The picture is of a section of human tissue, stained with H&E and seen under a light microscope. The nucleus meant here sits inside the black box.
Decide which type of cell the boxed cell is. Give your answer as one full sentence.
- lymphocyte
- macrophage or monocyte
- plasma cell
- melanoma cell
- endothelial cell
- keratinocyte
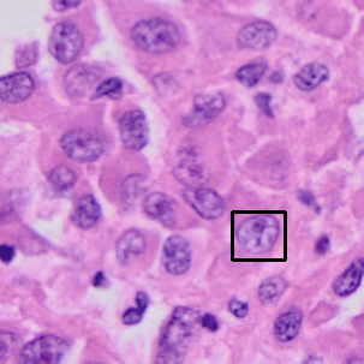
In short, the boxed cell on this section is a melanoma cell.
